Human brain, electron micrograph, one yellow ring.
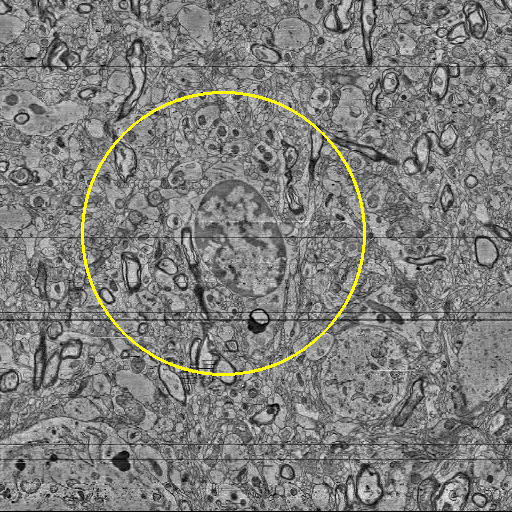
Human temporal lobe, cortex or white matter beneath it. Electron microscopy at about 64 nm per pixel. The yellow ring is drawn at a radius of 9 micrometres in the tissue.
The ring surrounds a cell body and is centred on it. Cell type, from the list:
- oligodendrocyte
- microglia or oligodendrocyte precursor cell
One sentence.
The yellow ring circles a microglial cell or oligodendrocyte precursor cell.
